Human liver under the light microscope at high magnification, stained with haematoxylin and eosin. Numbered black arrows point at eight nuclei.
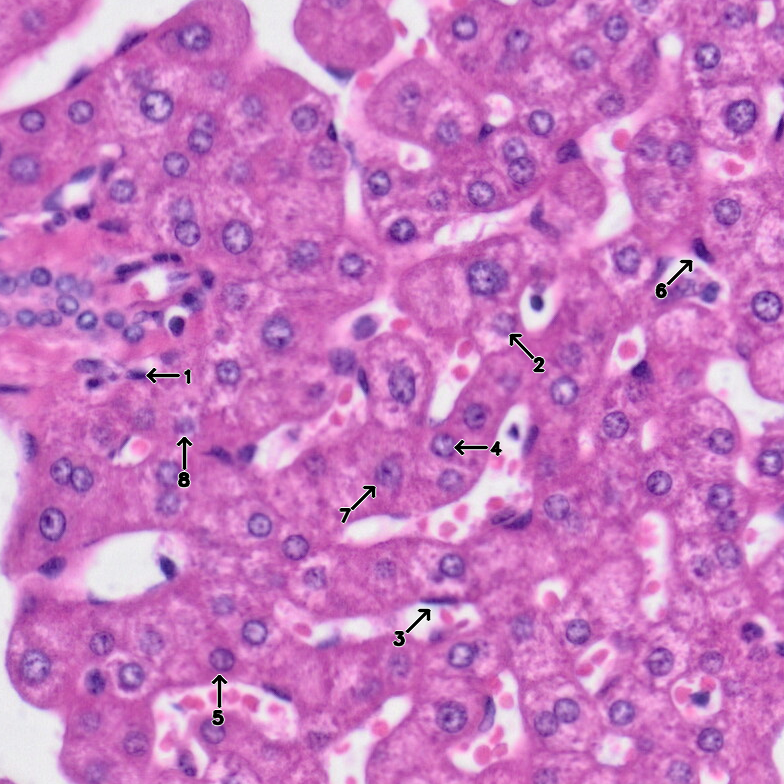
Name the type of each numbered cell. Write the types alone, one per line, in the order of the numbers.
fibroblast or stellate cell
hepatocyte
endothelial cell
hepatocyte
hepatocyte
fibroblast or stellate cell
hepatocyte
hepatocyte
